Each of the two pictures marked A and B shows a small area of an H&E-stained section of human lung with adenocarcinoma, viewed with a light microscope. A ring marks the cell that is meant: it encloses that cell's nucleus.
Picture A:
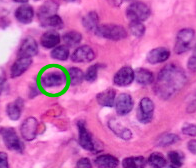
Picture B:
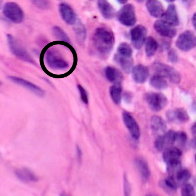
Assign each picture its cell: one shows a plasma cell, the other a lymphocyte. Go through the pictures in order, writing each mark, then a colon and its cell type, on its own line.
A: lymphocyte
B: plasma cell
